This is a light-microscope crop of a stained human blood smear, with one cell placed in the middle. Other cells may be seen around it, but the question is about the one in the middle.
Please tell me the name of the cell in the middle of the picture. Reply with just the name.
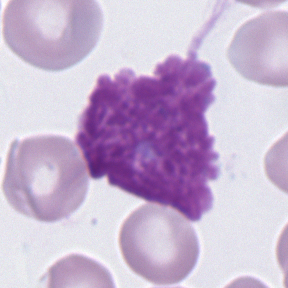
smudge cell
